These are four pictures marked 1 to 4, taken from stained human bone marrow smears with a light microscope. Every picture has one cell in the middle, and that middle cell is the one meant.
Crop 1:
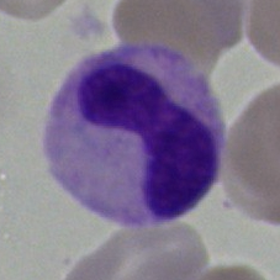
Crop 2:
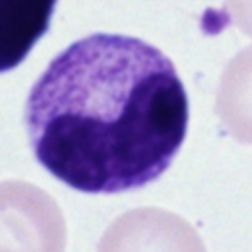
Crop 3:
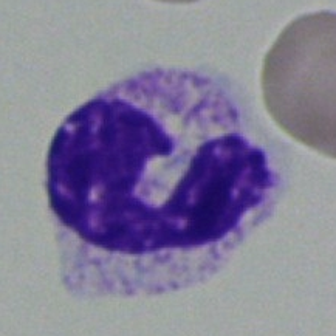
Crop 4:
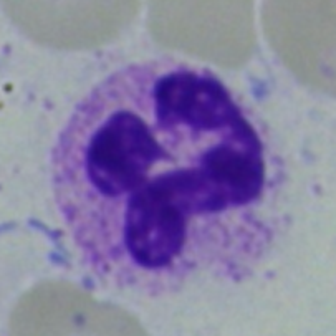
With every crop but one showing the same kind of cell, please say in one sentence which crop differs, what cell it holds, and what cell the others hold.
Crop 4 is the one to flag: it is a segmented neutrophil, and the rest show band neutrophils.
